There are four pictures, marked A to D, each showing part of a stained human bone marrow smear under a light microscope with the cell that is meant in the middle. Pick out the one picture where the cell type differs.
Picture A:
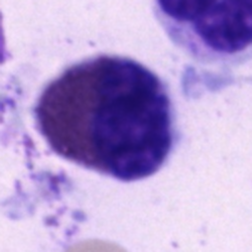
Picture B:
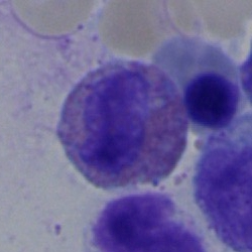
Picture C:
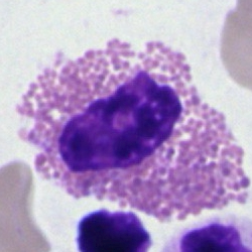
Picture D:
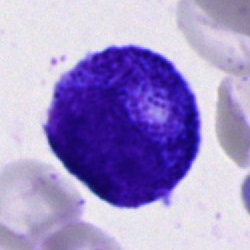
D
